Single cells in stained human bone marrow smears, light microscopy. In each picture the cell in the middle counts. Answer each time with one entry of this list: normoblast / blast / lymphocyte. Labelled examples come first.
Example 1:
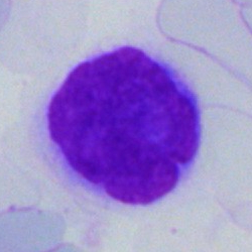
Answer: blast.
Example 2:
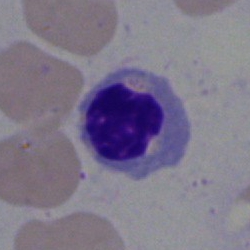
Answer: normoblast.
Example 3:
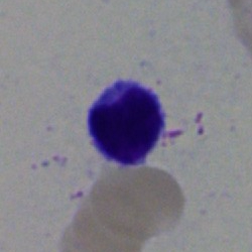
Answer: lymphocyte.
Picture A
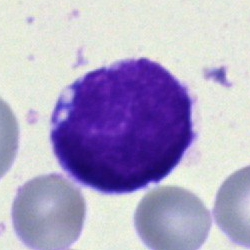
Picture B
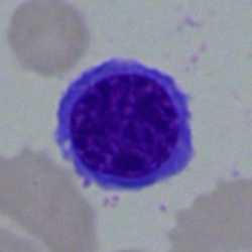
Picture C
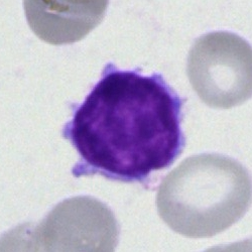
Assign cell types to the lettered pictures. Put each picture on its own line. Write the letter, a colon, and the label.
A: blast.
B: normoblast.
C: lymphocyte.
